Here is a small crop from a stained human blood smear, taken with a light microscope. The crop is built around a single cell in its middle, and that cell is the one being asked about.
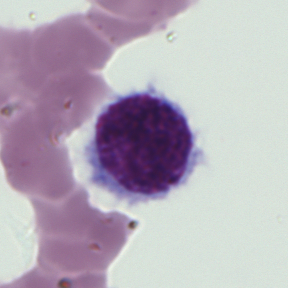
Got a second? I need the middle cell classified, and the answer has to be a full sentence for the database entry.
The cell of interest, in the center, is a hairy cell.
